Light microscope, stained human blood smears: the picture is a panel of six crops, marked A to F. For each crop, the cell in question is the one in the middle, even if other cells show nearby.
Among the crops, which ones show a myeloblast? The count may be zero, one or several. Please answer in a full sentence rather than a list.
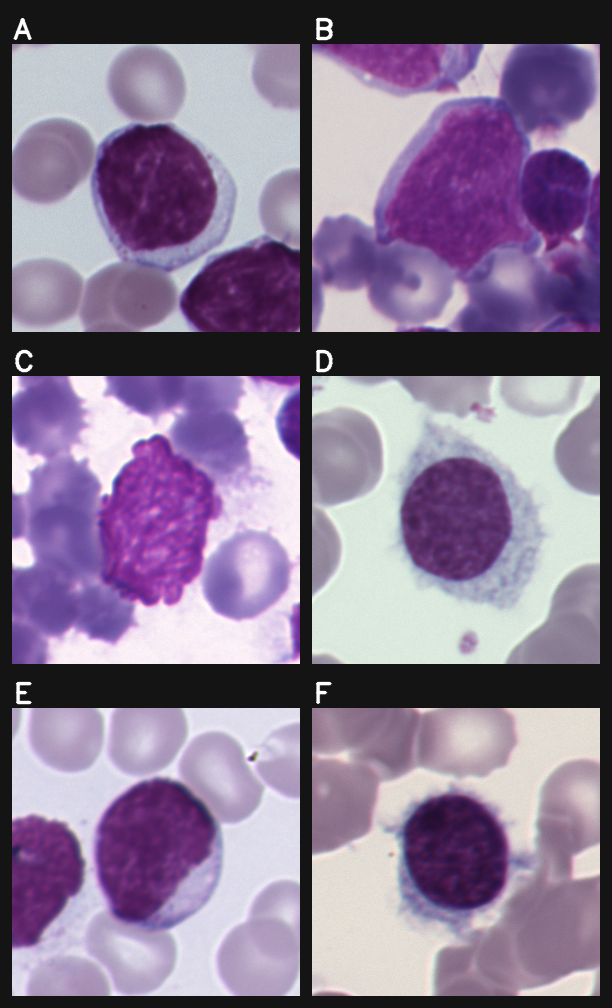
Out of all the crops, just crop B has a myeloblast.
